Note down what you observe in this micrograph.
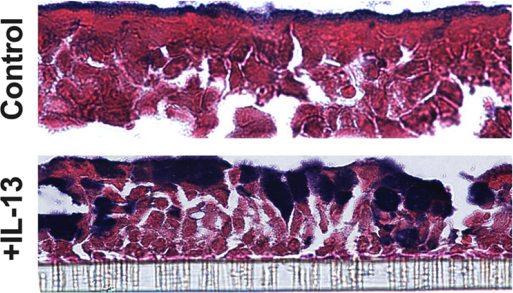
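These are cross sections of a multilayered airway epithelium grown on a culture insert. The cells stain pink to red, and the layer has loose gaps between cells in its lower part. In the upper section, purple-blue staining is limited to a thin band along the apical surface. In the lower section, many rounded cells are distended with dark purple-blue mucin; these are goblet cells, clustered mostly in the upper part of the layer. Beneath the lower section, a pale grey, finely striped band marks the insert membrane on which the cells rest.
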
